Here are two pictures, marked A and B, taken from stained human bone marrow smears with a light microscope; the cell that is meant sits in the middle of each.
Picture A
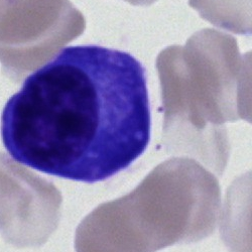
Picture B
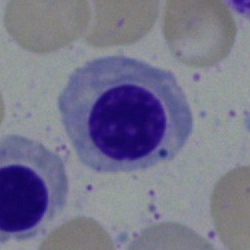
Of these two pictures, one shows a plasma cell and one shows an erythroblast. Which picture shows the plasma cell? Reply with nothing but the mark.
A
